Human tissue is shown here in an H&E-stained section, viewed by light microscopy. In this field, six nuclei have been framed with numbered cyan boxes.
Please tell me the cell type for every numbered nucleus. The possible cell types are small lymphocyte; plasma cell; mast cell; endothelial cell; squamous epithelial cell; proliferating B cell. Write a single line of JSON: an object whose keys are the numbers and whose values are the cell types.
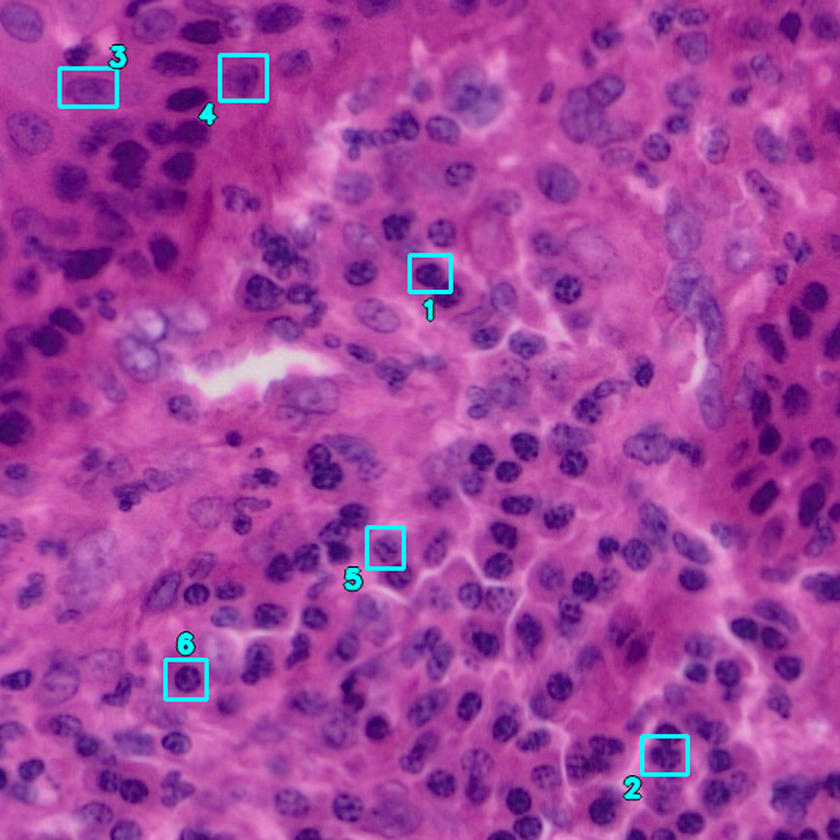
{"1": "plasma cell", "2": "plasma cell", "3": "squamous epithelial cell", "4": "squamous epithelial cell", "5": "plasma cell", "6": "plasma cell"}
